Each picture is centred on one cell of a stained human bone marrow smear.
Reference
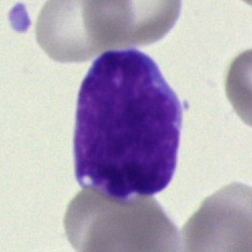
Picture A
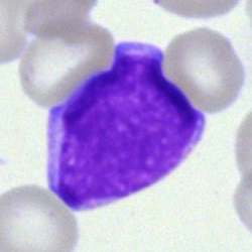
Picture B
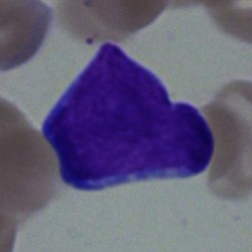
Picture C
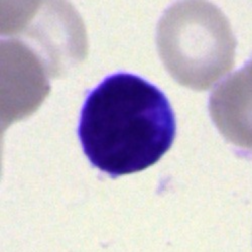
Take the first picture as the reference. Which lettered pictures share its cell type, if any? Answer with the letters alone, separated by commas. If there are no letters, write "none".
A, B, C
